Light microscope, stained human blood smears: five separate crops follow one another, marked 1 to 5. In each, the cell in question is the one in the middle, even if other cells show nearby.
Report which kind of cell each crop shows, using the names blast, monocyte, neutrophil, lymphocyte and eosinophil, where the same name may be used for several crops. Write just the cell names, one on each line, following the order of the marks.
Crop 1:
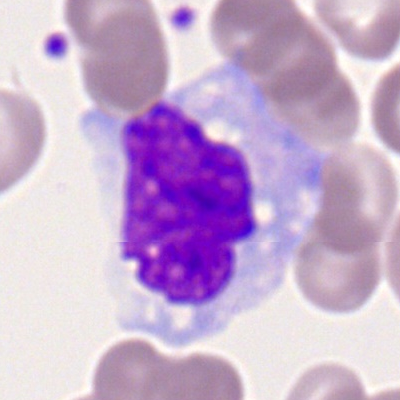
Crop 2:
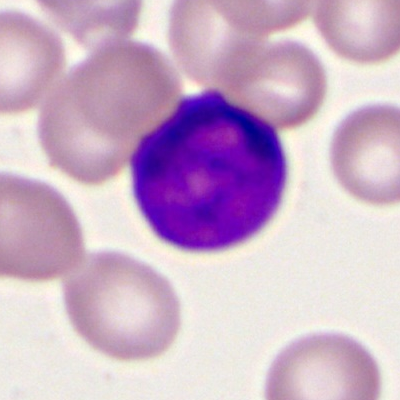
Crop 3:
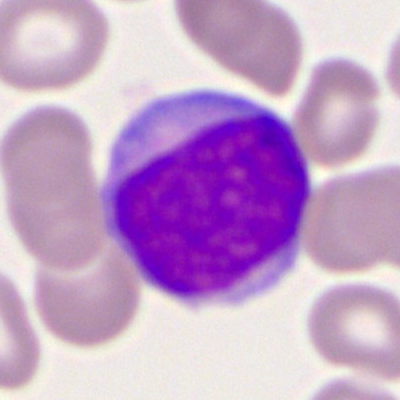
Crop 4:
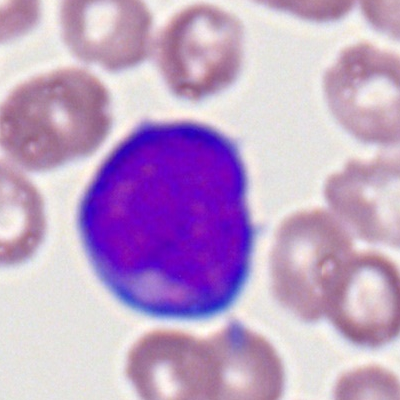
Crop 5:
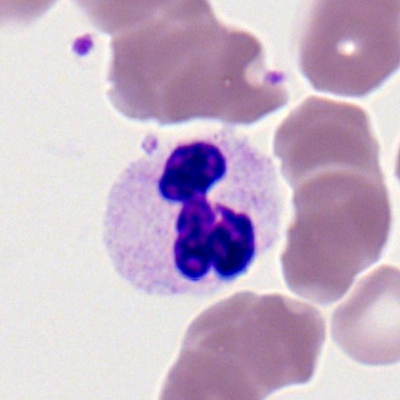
monocyte
blast
blast
blast
neutrophil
